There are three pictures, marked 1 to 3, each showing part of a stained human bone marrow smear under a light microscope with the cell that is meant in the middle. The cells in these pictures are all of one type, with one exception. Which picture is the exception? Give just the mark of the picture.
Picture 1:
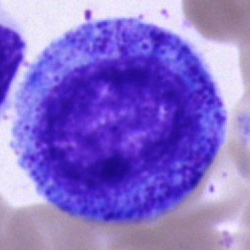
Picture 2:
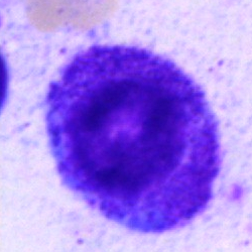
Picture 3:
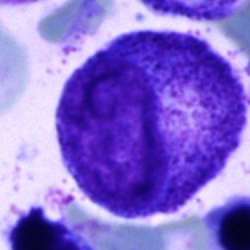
3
